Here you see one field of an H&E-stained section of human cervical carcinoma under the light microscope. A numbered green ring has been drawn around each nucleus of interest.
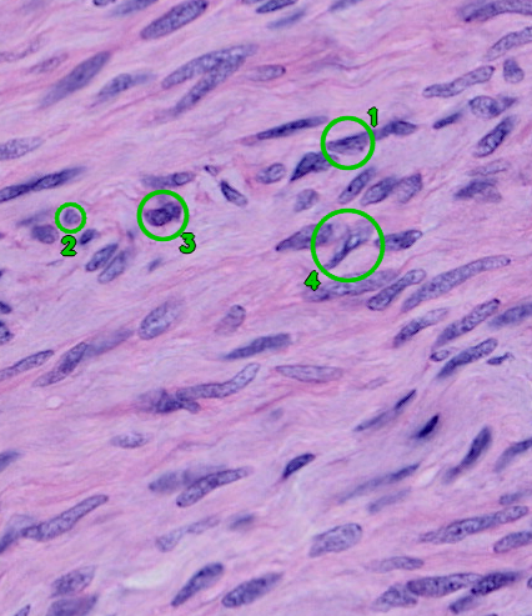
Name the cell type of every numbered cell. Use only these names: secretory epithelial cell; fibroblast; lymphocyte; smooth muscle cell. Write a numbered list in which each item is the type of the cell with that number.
1. fibroblast
2. smooth muscle cell
3. smooth muscle cell
4. smooth muscle cell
